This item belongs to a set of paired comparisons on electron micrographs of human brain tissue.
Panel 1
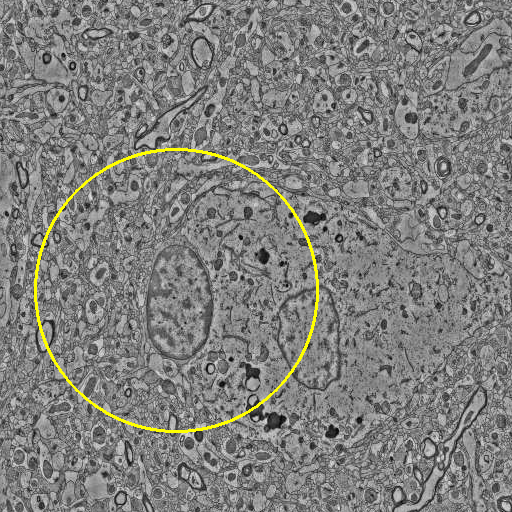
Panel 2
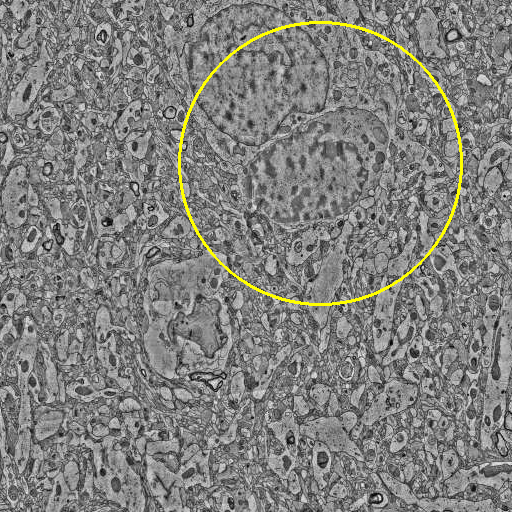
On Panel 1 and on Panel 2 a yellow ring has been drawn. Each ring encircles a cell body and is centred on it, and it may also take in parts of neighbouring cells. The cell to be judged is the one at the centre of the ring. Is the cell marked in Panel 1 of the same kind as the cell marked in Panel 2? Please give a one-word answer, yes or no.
yes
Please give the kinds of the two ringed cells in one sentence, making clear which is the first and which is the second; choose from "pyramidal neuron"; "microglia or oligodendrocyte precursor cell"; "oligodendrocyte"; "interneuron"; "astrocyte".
The second cell is an oligodendrocyte, just as the first is.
